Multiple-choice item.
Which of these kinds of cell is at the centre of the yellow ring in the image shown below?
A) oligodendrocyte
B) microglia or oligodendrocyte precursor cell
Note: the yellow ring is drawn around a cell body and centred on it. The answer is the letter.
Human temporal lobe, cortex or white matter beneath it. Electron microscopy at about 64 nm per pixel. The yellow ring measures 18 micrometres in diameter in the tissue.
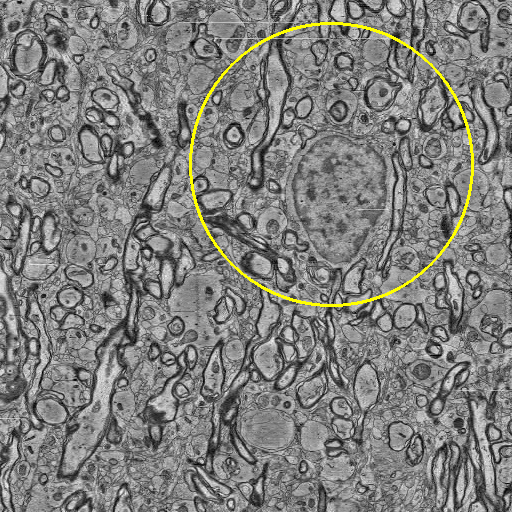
A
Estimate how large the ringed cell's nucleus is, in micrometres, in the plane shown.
The ringed cell's nucleus measures approximately 8 by 6 micrometres in this plane.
